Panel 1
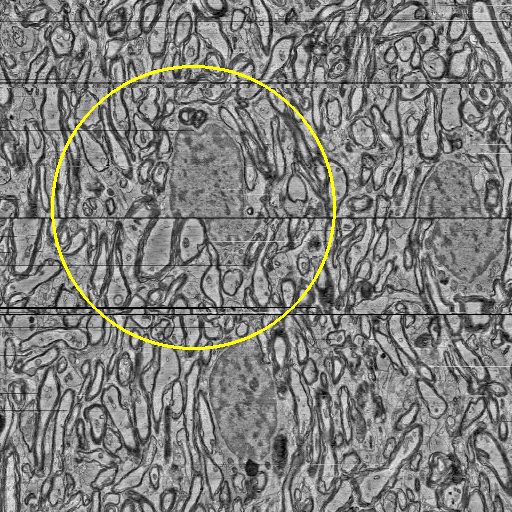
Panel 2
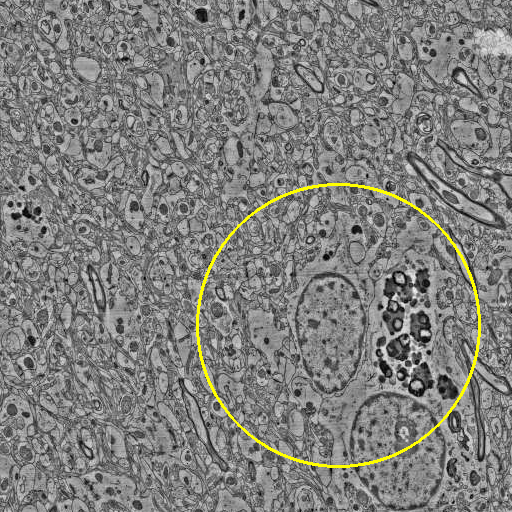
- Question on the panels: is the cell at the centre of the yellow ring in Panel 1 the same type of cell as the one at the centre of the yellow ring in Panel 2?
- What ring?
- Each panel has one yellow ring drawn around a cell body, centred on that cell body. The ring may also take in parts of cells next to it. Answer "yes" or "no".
no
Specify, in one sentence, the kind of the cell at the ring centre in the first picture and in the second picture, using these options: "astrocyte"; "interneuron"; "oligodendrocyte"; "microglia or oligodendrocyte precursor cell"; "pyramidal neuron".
So the first is an oligodendrocyte, the second an astrocyte.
